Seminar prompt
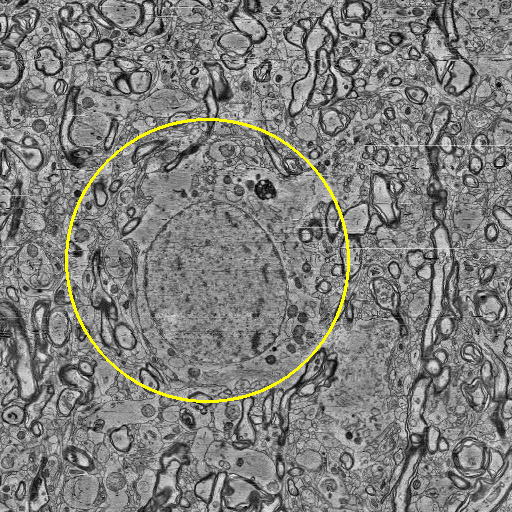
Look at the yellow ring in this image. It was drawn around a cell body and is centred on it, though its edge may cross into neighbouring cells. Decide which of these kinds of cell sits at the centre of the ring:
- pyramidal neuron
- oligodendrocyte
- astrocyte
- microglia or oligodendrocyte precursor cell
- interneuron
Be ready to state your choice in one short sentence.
The kind of cell at the ring's centre is an astrocyte.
